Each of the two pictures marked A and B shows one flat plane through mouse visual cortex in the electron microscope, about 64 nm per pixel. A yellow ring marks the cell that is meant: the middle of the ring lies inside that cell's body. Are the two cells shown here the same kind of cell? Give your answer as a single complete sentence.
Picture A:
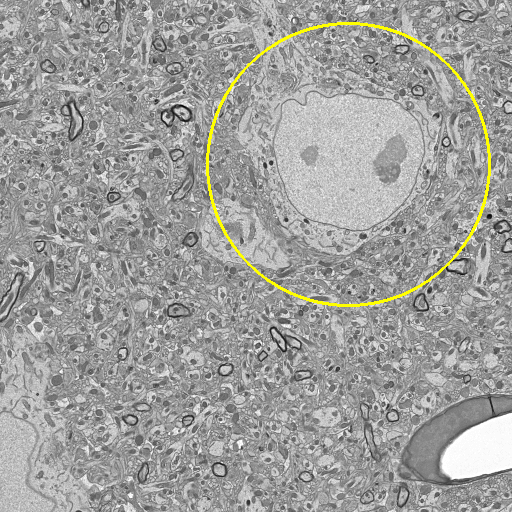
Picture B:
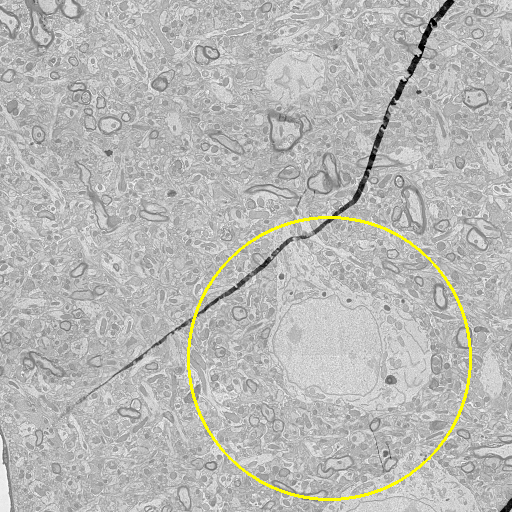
Yes; the cells in both pictures are excitatory neurons.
